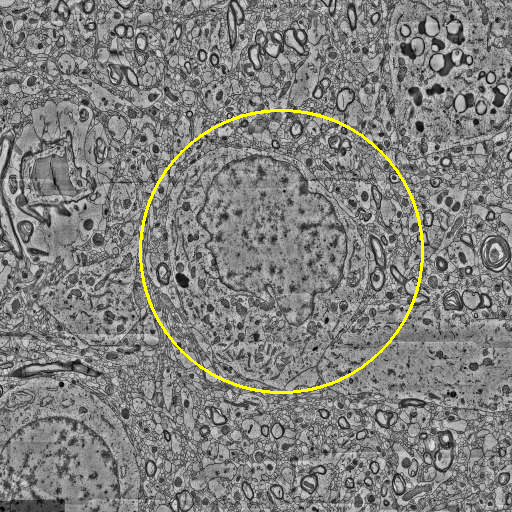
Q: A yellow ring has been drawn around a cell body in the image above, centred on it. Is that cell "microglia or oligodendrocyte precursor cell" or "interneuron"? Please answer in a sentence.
The ring surrounds the cell body of an interneuron.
